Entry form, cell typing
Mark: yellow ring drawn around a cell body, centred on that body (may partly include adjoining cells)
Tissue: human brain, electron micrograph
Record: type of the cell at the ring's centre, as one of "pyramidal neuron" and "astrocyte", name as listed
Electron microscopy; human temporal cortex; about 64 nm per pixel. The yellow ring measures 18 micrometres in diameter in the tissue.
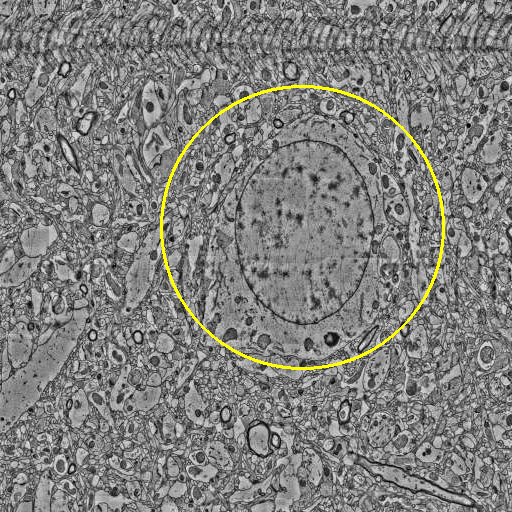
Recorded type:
pyramidal neuron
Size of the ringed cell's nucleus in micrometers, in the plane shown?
In this plane, approximately 12 by 9 micrometers.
